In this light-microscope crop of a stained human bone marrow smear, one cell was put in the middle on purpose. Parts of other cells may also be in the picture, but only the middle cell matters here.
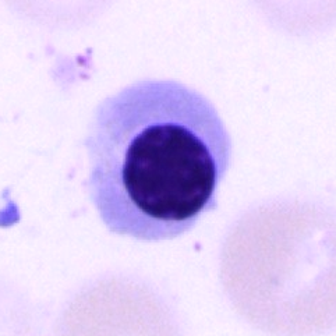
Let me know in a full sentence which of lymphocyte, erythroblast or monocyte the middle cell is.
The cell the crop is centered on is an erythroblast.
